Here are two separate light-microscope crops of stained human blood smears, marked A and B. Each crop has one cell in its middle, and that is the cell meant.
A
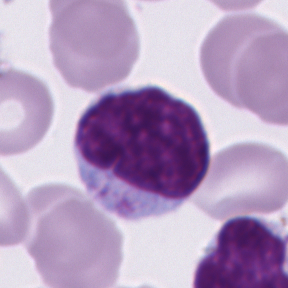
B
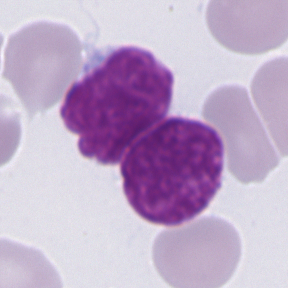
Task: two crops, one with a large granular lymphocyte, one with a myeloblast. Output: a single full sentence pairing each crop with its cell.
Crop A here is a large granular lymphocyte, and crop B is a myeloblast.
